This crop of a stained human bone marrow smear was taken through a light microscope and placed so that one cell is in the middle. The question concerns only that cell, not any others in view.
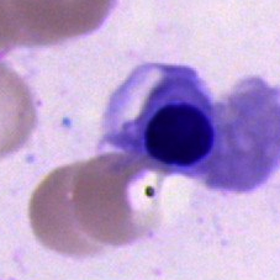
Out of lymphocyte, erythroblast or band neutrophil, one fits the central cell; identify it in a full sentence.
Classified as an erythroblast is the cell in the middle of this crop.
